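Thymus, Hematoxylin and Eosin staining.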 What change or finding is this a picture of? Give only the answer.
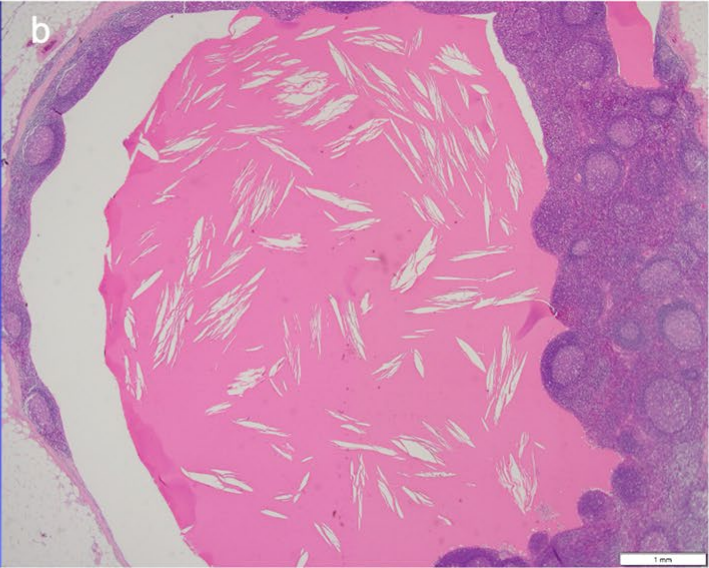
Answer: hyperplasia of lymph follicles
